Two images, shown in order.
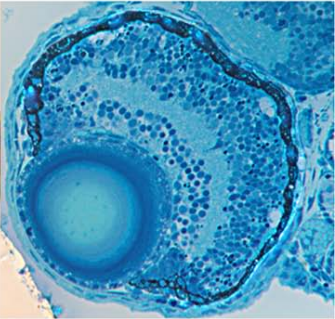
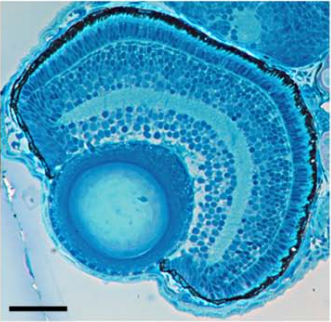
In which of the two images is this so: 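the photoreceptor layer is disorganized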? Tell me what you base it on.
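The first image. First image: the outer retinal layer beneath the pigmented rim is irregular and ragged. Second image: the outer retinal layer forms an orderly band lining a smooth pigmented rim.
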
